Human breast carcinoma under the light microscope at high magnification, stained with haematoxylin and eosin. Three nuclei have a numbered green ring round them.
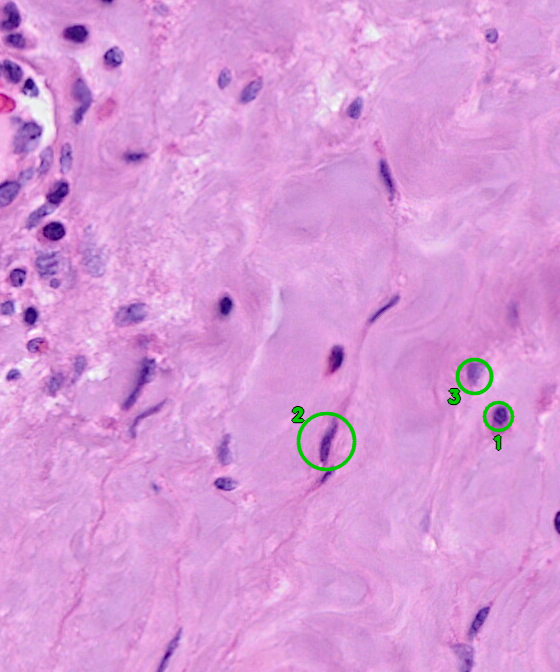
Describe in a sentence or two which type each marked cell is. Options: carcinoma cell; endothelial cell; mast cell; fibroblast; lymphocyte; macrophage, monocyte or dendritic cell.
Cell 1 is a mast cell, cell 2 is a fibroblast and cell 3 is a fibroblast.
